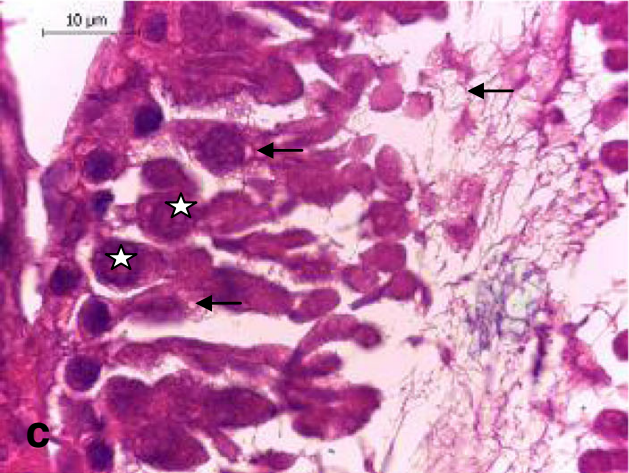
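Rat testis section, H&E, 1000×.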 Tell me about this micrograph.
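This is the germinal epithelium of a seminiferous tubule at high magnification, with spermatogenic cells arranged from the basement membrane towards the lumen. Near the base lie rounded cells with dark purple nuclei, some surrounded by clear spaces. Clear gaps separate many cells, giving the epithelium a vacuolated, loosened look. The lumen holds pale pink fibrillar material with scattered detached, rounded cell fragments, suggesting breakdown of the spermatogenic cells rather than an orderly, compact epithelium.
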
